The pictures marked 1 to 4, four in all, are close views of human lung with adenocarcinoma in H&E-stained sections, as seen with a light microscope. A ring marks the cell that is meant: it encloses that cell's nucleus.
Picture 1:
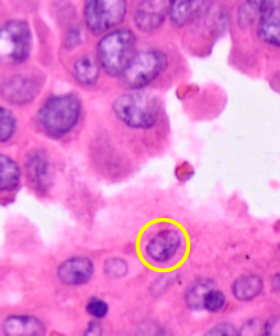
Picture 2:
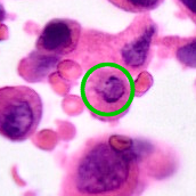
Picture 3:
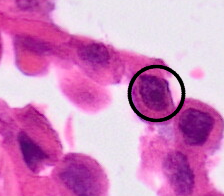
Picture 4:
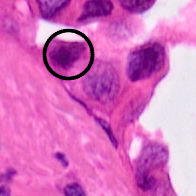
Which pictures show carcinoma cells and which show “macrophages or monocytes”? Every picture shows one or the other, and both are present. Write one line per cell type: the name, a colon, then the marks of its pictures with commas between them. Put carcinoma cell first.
carcinoma cell: 3, 4
macrophage or monocyte: 1, 2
